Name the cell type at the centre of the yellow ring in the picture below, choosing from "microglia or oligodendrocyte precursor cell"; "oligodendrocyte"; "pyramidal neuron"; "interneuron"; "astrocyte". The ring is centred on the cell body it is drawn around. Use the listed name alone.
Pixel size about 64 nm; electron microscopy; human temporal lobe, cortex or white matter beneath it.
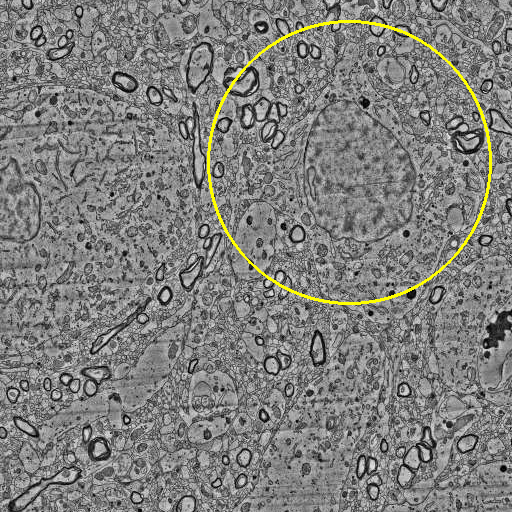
interneuron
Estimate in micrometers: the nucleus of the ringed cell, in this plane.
About 9 by 7 micrometers, in this plane.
